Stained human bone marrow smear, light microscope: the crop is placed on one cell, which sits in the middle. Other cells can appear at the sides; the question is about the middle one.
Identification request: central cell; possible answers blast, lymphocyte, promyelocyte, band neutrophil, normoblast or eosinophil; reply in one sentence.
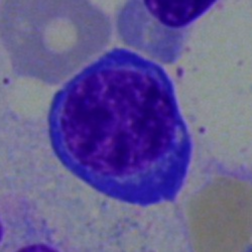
The cell at the central position in this crop is a normoblast.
